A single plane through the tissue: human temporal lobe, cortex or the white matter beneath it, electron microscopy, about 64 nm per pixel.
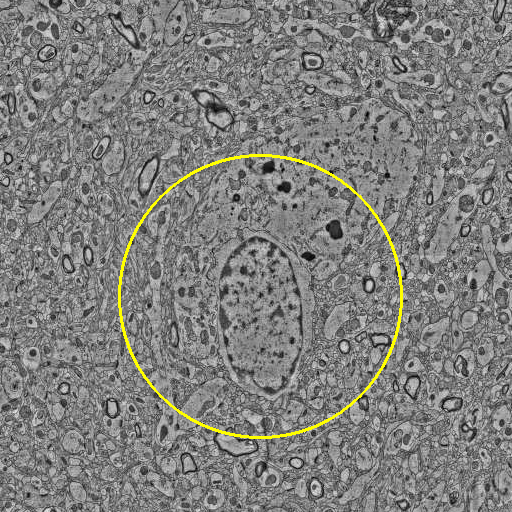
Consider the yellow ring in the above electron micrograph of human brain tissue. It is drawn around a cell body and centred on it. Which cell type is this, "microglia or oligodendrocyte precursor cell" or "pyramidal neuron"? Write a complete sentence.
The cell in question is a microglial cell or oligodendrocyte precursor cell.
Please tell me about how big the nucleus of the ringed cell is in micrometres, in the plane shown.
In this plane the nucleus is roughly 10 by 5 micrometres, clearly longer than it is wide.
